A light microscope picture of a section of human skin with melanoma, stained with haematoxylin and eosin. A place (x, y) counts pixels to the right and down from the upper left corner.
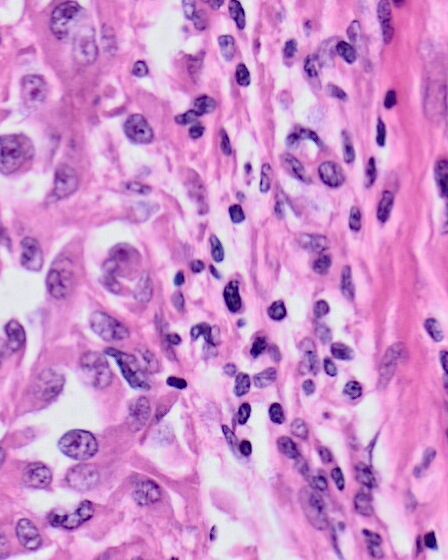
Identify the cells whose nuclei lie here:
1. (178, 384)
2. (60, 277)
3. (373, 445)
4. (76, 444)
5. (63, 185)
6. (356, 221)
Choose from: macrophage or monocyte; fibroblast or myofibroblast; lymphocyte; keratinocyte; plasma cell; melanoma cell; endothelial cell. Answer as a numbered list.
1. lymphocyte
2. melanoma cell
3. fibroblast or myofibroblast
4. melanoma cell
5. melanoma cell
6. lymphocyte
